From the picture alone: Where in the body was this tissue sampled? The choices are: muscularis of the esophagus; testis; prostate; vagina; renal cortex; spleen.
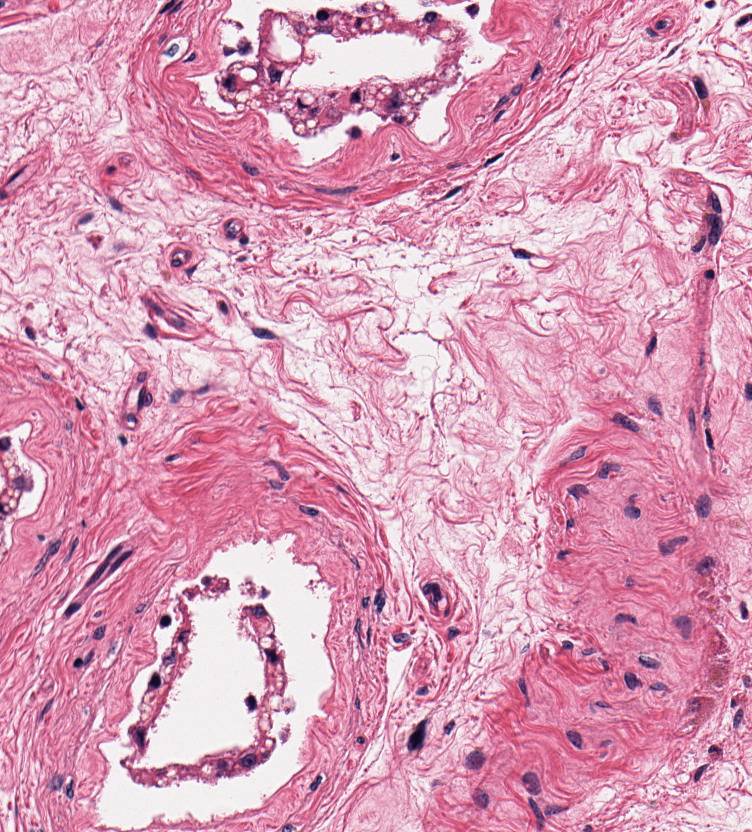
testis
